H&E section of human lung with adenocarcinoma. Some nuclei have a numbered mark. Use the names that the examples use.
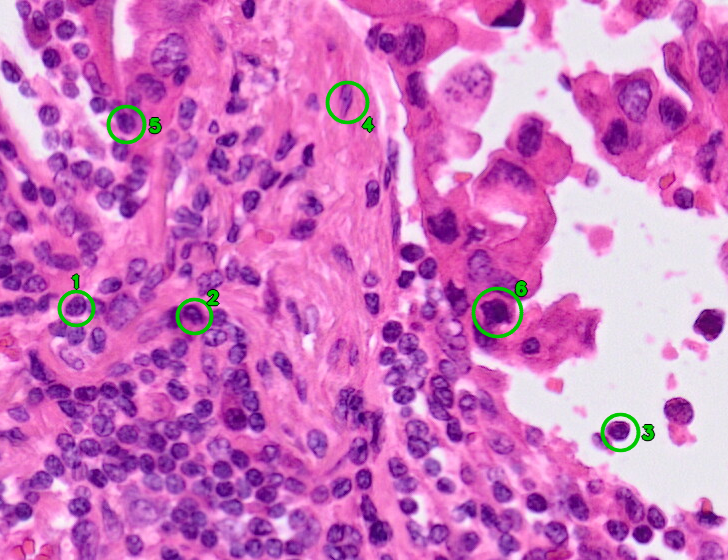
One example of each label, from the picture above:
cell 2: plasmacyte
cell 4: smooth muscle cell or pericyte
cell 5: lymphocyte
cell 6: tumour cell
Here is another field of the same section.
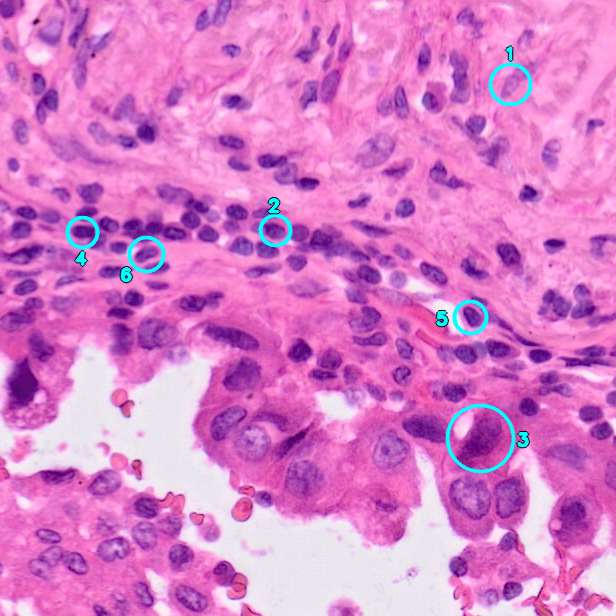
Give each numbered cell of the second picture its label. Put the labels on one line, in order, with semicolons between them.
smooth muscle cell or pericyte; lymphocyte; tumour cell; lymphocyte; lymphocyte; lymphocyte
